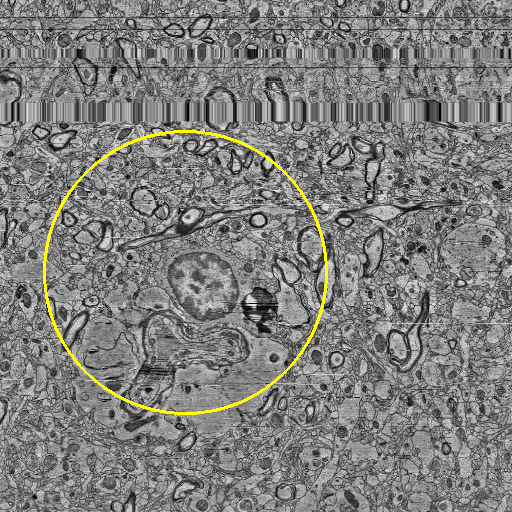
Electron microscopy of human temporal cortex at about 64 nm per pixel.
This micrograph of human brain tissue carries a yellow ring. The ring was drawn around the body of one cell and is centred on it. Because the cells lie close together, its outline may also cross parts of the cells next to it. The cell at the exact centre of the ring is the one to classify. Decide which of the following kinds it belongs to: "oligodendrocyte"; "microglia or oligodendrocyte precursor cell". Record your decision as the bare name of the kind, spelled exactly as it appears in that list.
oligodendrocyte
